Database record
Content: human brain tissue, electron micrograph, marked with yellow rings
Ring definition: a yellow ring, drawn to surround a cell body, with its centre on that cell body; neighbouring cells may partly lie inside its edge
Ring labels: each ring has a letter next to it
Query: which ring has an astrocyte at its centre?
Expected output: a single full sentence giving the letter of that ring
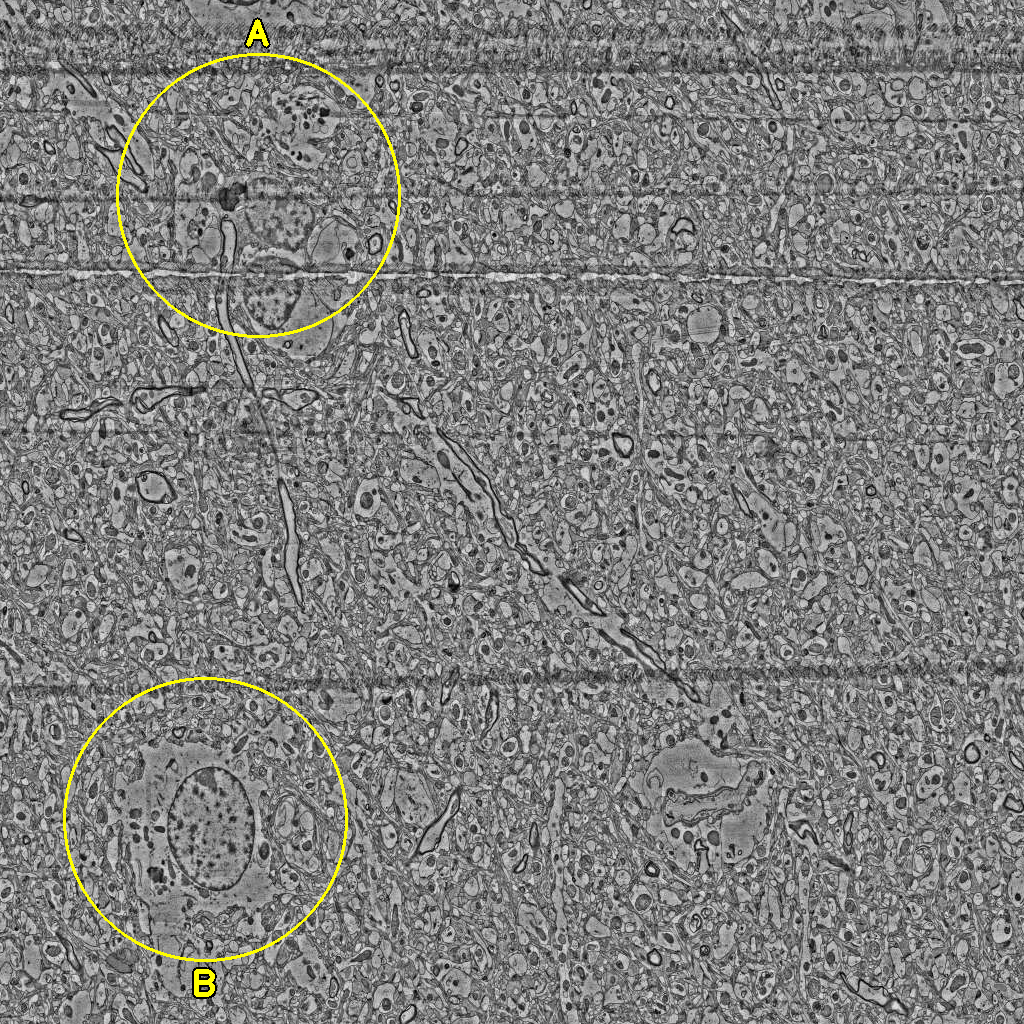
In the picture, the cell being queried lies at the centre of ring B.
